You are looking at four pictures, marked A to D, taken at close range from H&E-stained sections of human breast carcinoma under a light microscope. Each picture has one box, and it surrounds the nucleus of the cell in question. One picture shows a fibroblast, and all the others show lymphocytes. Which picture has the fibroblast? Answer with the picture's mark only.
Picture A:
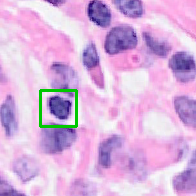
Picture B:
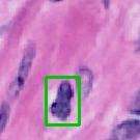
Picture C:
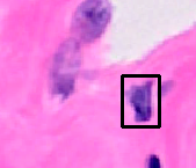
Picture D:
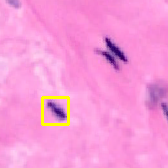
D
